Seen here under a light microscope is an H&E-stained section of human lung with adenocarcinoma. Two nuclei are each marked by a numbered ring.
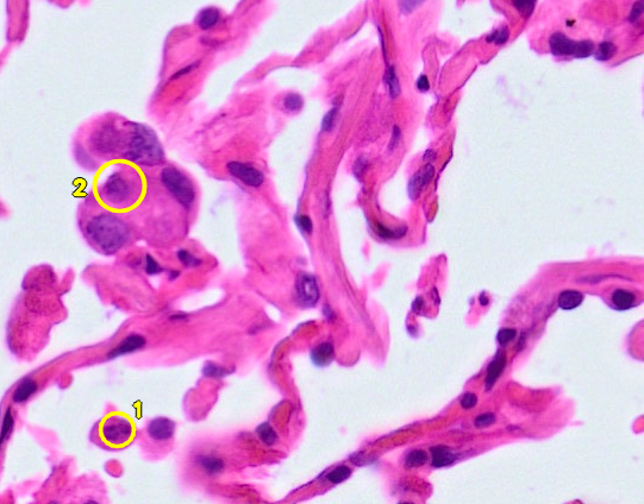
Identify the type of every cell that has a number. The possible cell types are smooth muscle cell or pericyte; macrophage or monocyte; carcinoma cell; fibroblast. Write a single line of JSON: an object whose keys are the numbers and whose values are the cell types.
{"1": "macrophage or monocyte", "2": "carcinoma cell"}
